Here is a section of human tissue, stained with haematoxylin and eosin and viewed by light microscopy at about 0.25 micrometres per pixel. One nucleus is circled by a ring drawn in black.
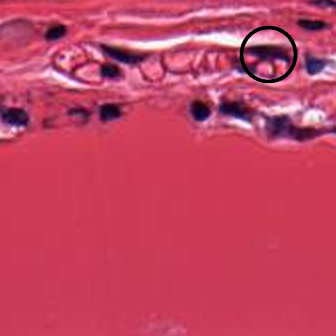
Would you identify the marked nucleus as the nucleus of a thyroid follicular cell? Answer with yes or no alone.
no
